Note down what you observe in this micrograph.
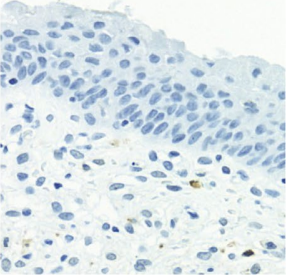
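This is benign urothelium, a lining epithelium several cells thick resting on loose connective tissue. Beneath the epithelium the stroma is pale and loose, with scattered spindle-shaped nuclei. Almost no brown colour is present, apart from a few tiny specks in the stroma.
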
